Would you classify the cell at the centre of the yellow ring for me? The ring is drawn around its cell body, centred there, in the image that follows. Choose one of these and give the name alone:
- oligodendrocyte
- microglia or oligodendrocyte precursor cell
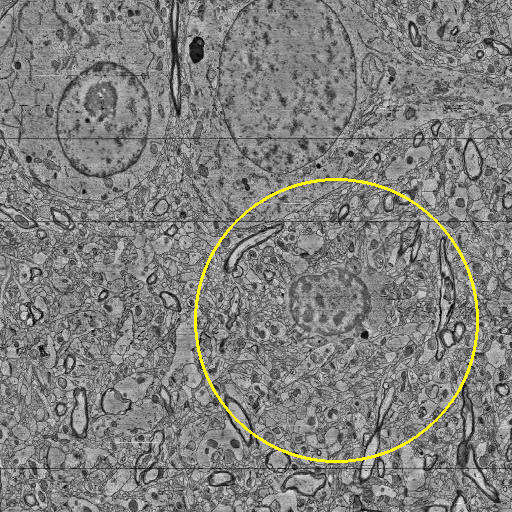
oligodendrocyte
